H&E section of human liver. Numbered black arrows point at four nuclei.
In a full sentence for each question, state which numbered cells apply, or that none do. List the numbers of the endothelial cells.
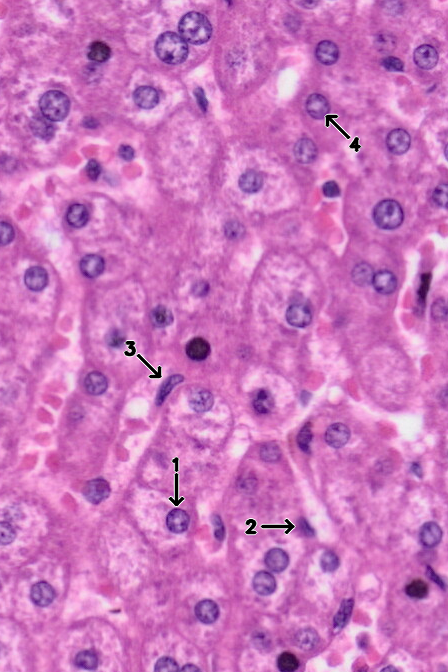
Across all the numbered cells, only number 2 is an endothelial cell.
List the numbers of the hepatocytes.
The cells the numbers 1 and 4 point to are hepatocytes.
